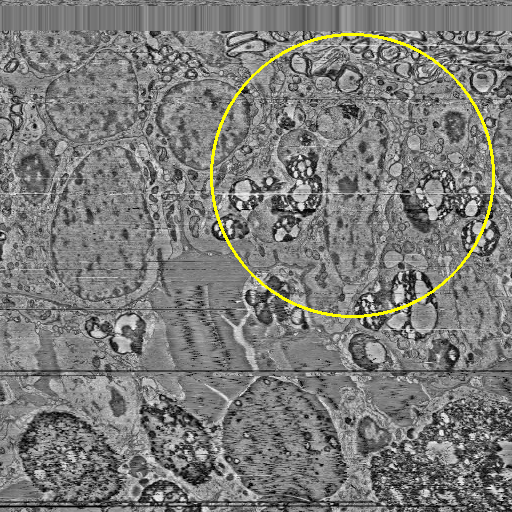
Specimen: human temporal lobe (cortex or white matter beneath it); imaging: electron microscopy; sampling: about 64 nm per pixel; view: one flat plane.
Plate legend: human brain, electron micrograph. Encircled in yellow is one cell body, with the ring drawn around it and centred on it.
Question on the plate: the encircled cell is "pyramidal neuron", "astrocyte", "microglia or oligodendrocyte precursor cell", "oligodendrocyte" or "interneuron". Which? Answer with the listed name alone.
astrocyte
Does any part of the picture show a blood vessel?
Yes, the picture includes a blood vessel.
